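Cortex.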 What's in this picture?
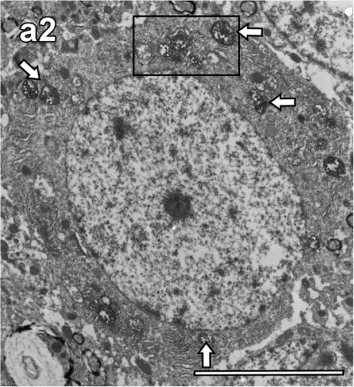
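This electron micrograph shows the cell body of a cortical neuron dominated by a large oval nucleus with finely dispersed chromatin and a single dense nucleolus. A thin rim of cytoplasm surrounds the nucleus and contains mitochondria, some of which appear distinctly dark and are marked by arrows. Parallel membrane stacks lie in the cytoplasm below the nucleus, and a cross-sectioned myelinated fibre with a dark ring sits in the neuropil at the lower left. A box frames a group of mitochondria at the top of the cell.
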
